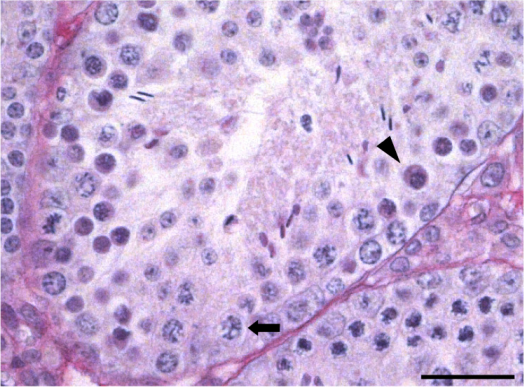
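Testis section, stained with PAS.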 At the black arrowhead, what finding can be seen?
Cell death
